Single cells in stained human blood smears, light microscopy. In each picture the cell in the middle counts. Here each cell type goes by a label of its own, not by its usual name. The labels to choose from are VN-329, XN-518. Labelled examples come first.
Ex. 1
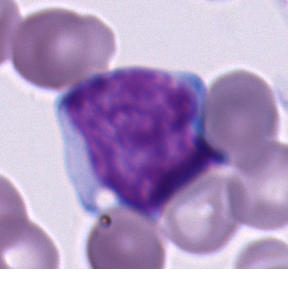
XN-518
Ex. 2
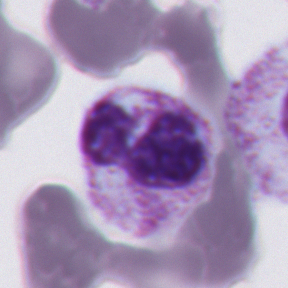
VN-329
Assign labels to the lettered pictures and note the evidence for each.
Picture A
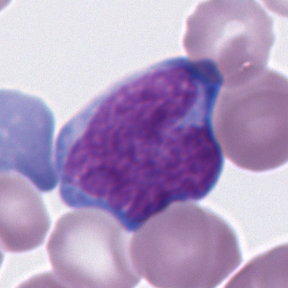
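XN-518. The nucleus fills most of the cell.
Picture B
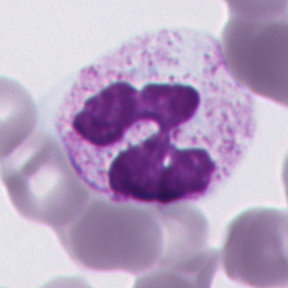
VN-329. The cytoplasm is abundant and pale pinkish-lilac.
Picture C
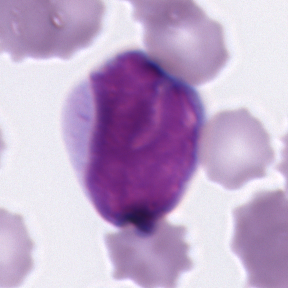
XN-518. The cytoplasm forms only a narrow crescent along the left side of the cell.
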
